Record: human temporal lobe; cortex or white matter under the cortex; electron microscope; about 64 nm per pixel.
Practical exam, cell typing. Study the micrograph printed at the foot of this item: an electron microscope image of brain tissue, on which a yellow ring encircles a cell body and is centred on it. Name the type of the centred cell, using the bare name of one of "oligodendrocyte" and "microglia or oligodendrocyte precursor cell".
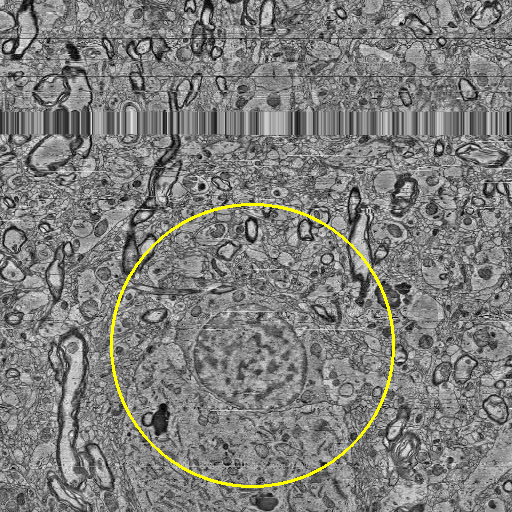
oligodendrocyte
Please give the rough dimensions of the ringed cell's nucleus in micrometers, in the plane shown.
The ringed cell's nucleus is about 7 micrometres across in this plane.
